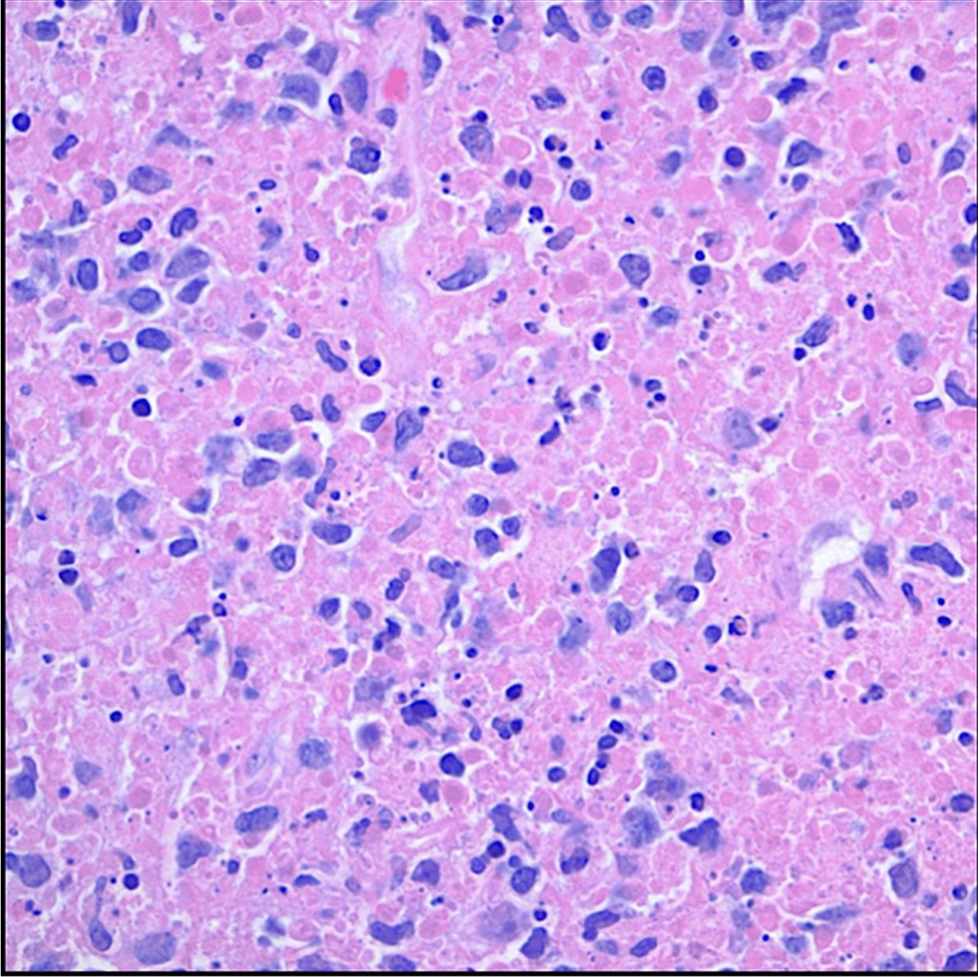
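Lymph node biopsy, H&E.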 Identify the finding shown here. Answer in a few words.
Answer: Necrotic lymphoid tissue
